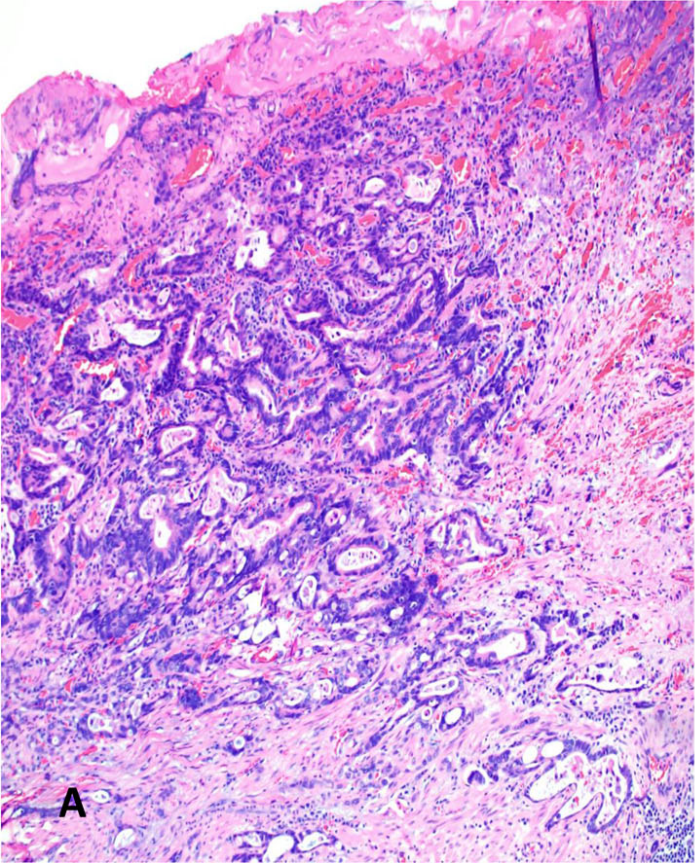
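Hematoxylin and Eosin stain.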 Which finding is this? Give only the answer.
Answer: Invasive adenocarcinoma with tubuloinfiltrative pattern.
